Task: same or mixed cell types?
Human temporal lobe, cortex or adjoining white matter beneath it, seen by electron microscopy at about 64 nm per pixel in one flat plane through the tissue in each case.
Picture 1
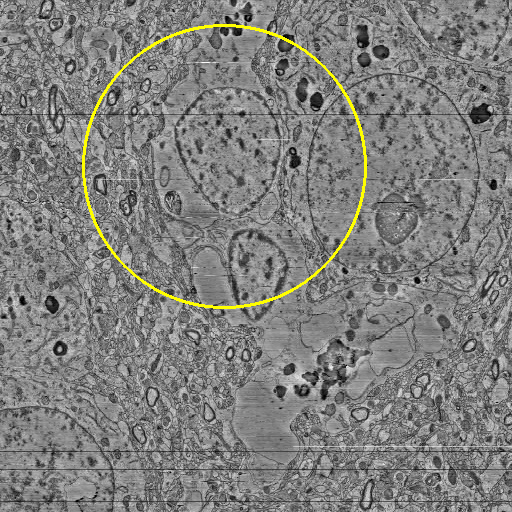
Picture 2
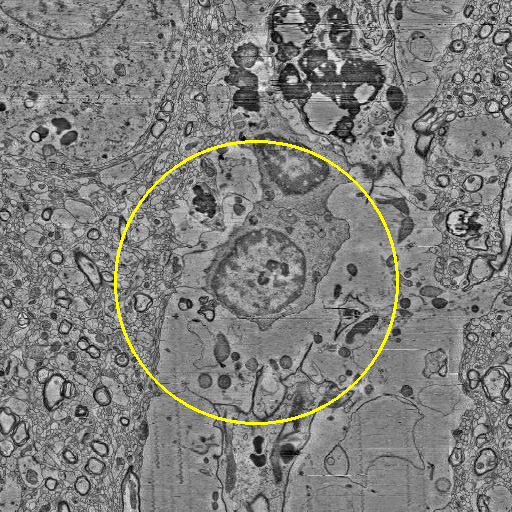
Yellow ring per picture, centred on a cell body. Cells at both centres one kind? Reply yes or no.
no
